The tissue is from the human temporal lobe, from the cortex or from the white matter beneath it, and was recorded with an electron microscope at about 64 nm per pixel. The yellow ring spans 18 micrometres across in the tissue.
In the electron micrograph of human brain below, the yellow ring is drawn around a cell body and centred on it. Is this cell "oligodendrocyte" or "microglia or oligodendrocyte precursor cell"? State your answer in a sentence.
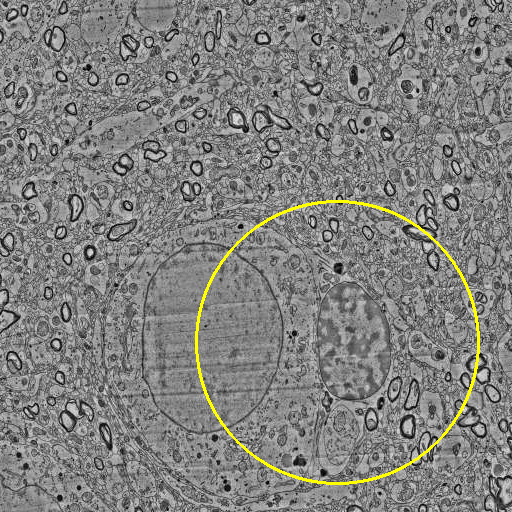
The cell in the middle of the ring is a microglial cell or oligodendrocyte precursor cell.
